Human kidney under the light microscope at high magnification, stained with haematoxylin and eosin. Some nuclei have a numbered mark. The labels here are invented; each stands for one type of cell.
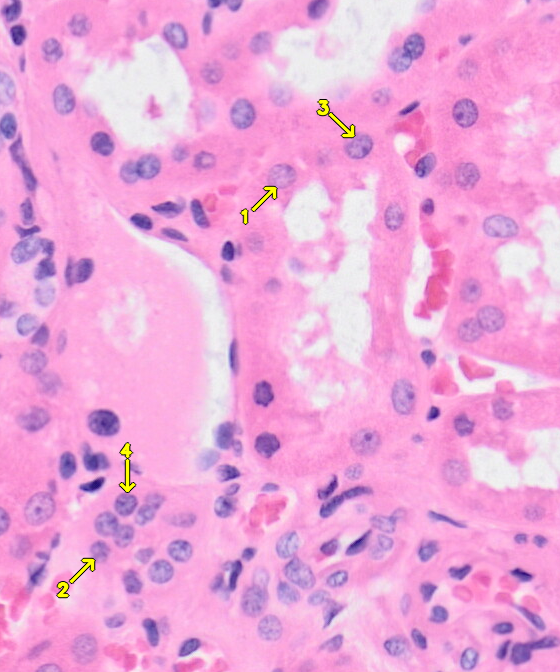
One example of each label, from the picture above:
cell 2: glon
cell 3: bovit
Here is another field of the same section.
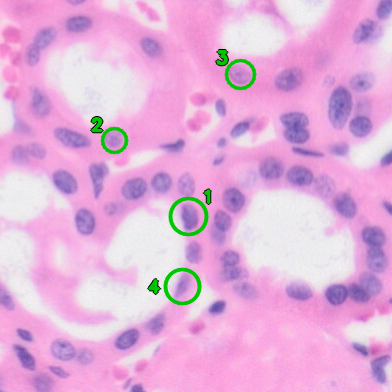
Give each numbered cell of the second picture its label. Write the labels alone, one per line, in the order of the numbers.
glon
glon
bovit
glon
